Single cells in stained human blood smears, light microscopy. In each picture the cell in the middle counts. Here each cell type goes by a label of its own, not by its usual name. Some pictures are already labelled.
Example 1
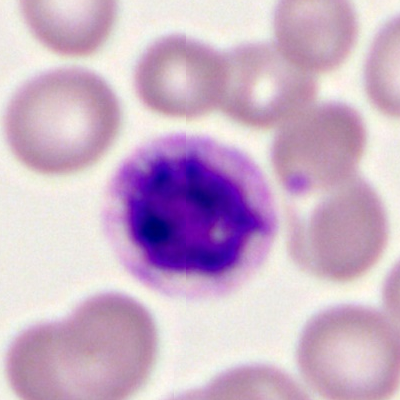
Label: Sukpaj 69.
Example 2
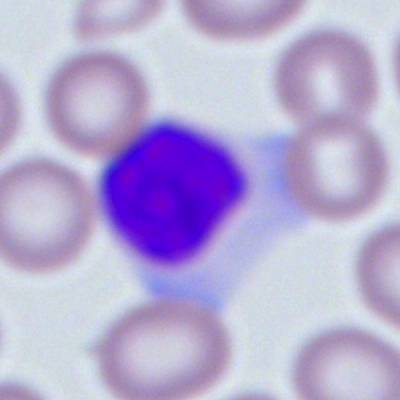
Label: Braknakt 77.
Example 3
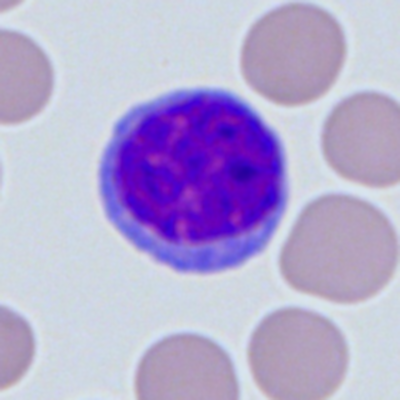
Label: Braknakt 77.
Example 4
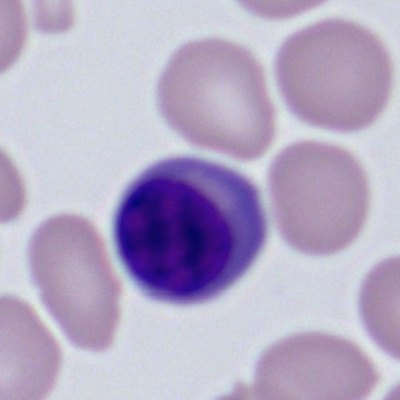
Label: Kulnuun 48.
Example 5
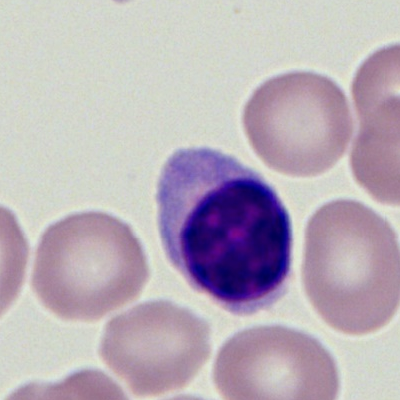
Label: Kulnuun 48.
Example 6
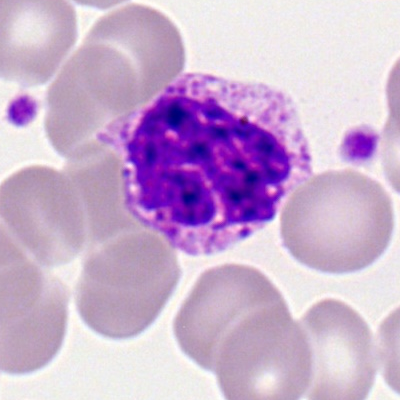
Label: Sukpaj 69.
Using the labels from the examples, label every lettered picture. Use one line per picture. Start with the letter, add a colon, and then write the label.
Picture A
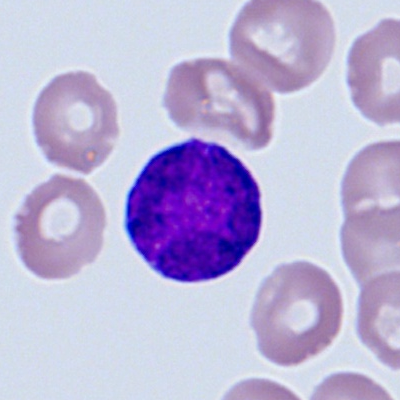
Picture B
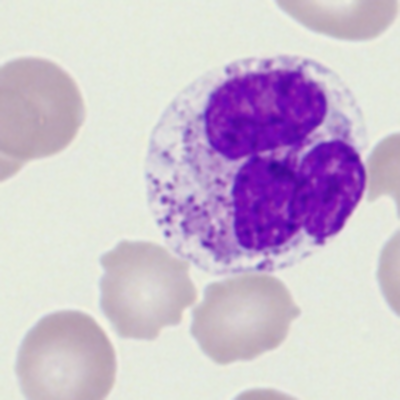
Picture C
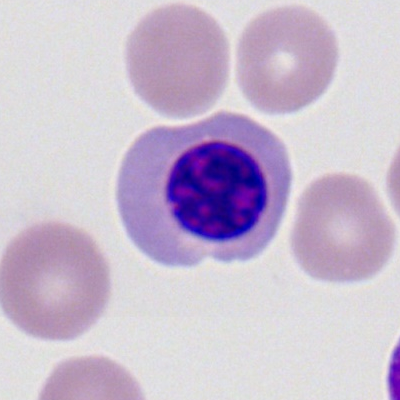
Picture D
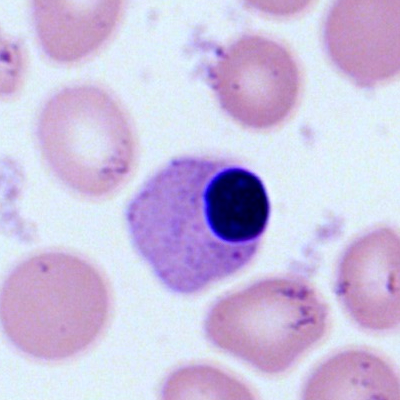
A: Braknakt 77.
B: Sukpaj 69.
C: Kulnuun 48.
D: Kulnuun 48.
